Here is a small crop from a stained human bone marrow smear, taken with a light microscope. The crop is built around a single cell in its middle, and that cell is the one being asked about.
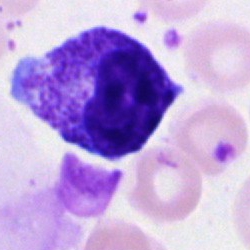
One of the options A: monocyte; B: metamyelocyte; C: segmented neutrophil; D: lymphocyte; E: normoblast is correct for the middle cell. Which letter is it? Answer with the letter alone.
B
